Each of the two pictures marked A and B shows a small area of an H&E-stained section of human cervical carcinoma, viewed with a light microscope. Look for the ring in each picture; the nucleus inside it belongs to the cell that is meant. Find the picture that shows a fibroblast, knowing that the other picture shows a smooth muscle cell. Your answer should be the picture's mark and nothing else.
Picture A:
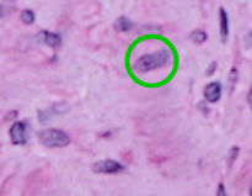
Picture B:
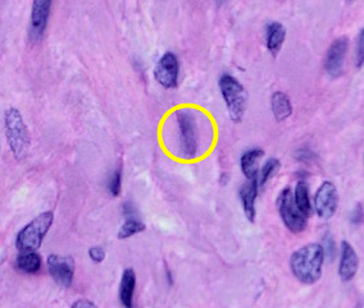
B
